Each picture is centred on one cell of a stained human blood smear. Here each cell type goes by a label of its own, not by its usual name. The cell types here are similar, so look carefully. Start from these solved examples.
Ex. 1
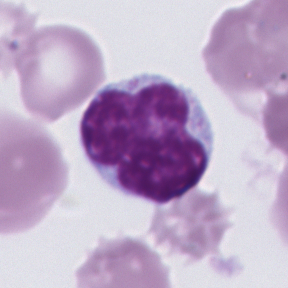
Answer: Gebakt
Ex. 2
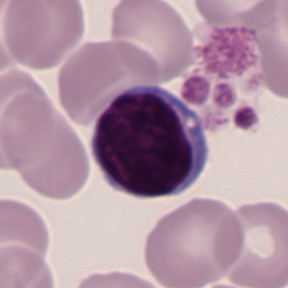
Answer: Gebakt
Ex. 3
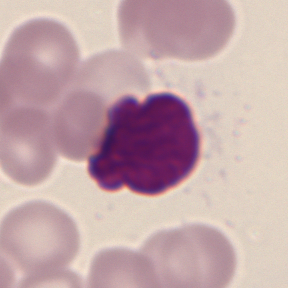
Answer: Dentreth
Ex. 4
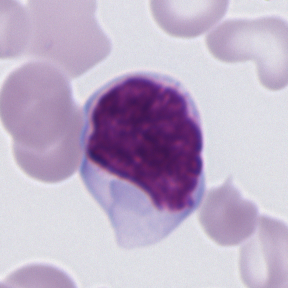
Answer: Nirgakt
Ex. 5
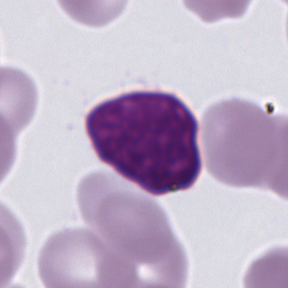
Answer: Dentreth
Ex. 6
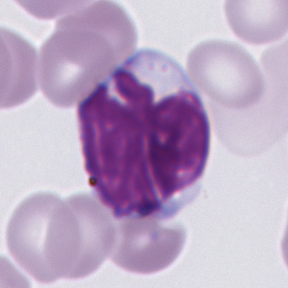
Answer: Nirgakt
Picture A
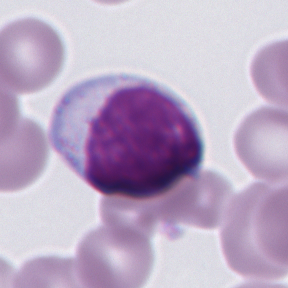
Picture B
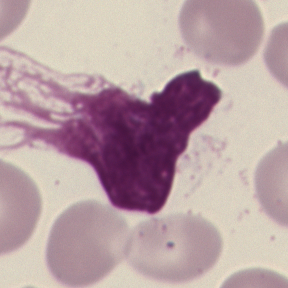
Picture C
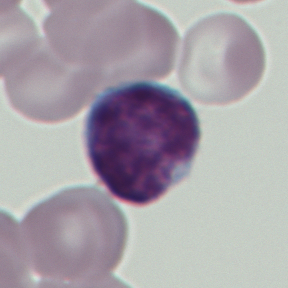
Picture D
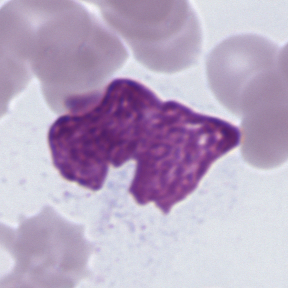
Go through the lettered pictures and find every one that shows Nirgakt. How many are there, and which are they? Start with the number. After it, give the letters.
1, namely A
